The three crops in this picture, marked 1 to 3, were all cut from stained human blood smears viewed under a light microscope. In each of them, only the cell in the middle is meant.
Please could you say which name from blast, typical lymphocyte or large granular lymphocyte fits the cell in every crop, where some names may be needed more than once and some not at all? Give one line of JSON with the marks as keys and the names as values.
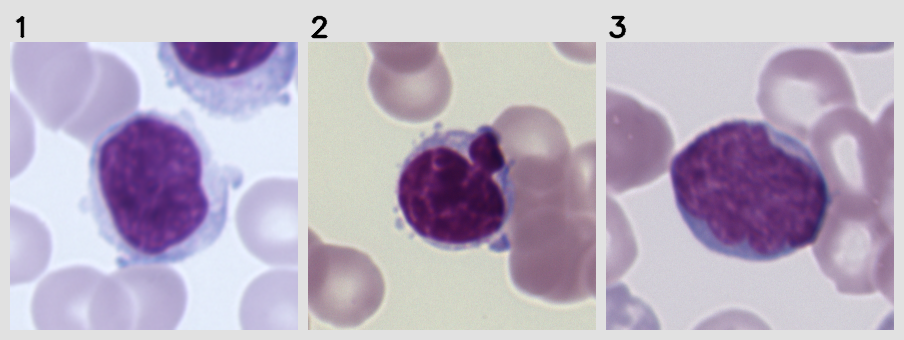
{"1": "typical lymphocyte", "2": "large granular lymphocyte", "3": "blast"}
